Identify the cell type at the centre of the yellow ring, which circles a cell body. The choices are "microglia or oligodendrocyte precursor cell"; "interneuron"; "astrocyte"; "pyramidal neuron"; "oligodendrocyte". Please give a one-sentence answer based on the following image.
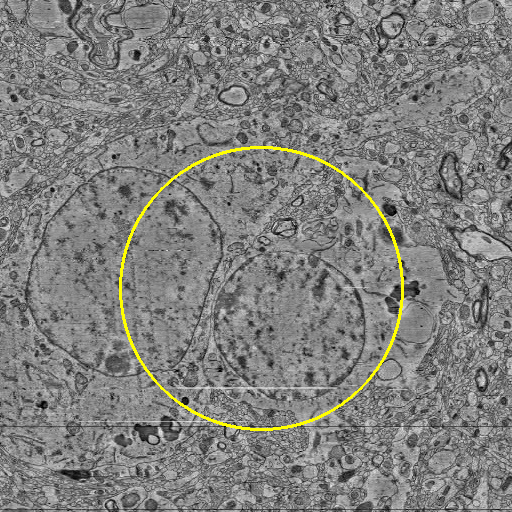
The cell marked by the ring is an astrocyte.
